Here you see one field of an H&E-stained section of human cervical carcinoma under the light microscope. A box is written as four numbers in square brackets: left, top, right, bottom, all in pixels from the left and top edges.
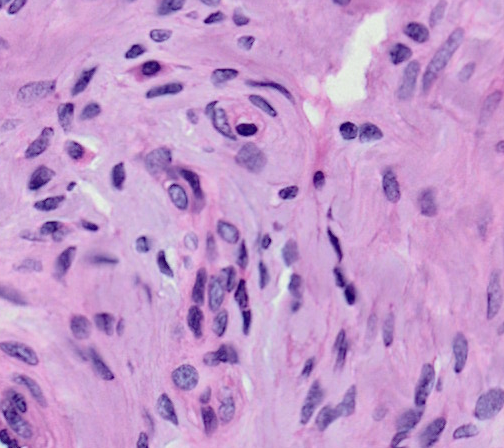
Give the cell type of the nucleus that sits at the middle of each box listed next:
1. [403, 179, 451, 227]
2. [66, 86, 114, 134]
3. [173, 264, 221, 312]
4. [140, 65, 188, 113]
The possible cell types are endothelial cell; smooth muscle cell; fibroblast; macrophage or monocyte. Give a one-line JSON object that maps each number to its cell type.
{"1": "fibroblast", "2": "fibroblast", "3": "endothelial cell", "4": "fibroblast"}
